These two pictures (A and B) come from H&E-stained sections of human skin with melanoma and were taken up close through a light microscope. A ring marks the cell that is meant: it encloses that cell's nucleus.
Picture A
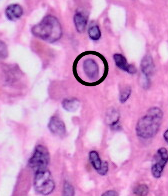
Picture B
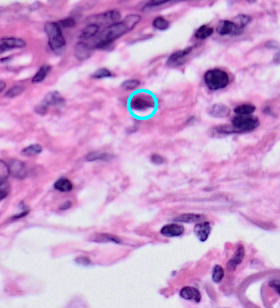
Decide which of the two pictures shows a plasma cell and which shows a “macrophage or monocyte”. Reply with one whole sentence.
Picture B shows a plasma cell, while picture A shows a “macrophage or monocyte”.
